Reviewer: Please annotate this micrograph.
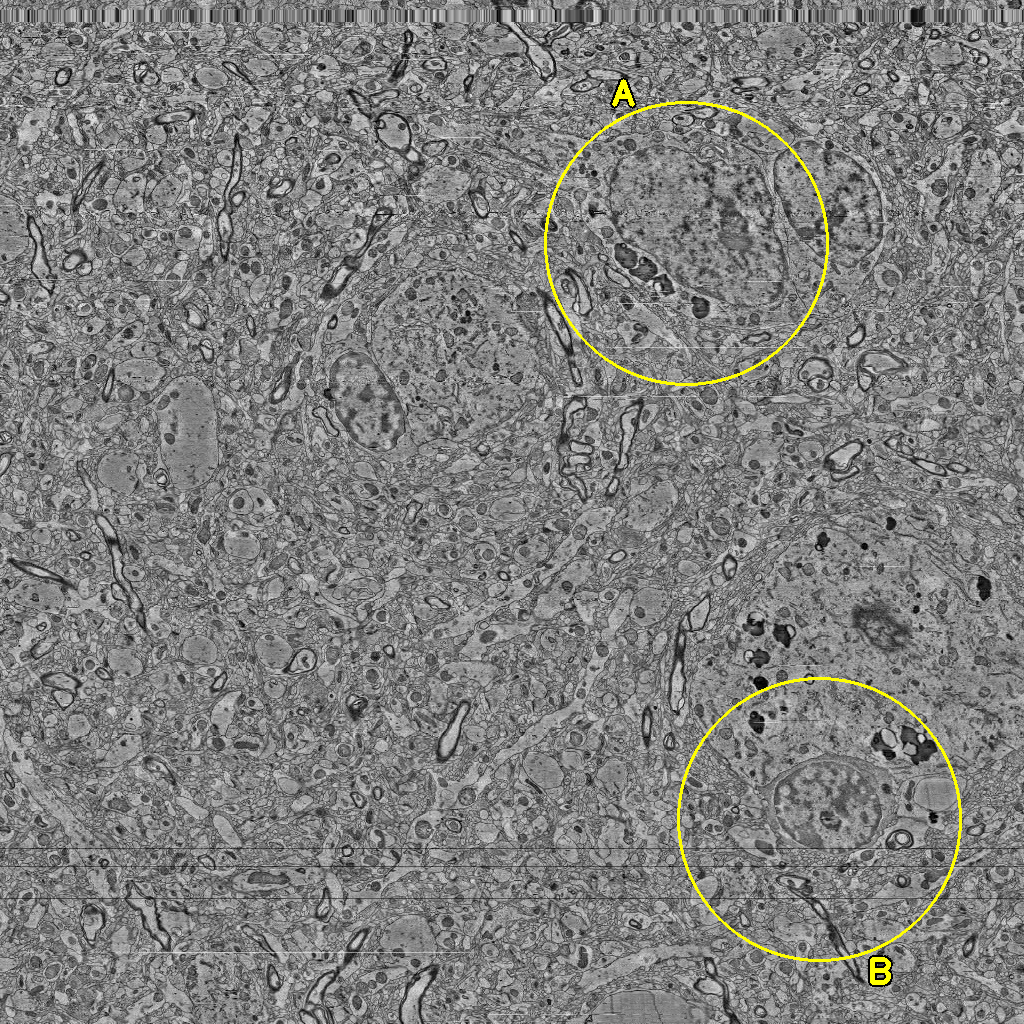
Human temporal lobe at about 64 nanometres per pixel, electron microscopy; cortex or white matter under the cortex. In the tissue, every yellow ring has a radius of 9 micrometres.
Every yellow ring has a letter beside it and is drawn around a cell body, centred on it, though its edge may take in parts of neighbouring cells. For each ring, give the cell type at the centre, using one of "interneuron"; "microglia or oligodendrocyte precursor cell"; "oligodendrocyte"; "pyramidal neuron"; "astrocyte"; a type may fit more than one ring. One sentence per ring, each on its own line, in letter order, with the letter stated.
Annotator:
The cell in the middle of ring A is an interneuron.
The cell in the middle of ring B is an oligodendrocyte.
